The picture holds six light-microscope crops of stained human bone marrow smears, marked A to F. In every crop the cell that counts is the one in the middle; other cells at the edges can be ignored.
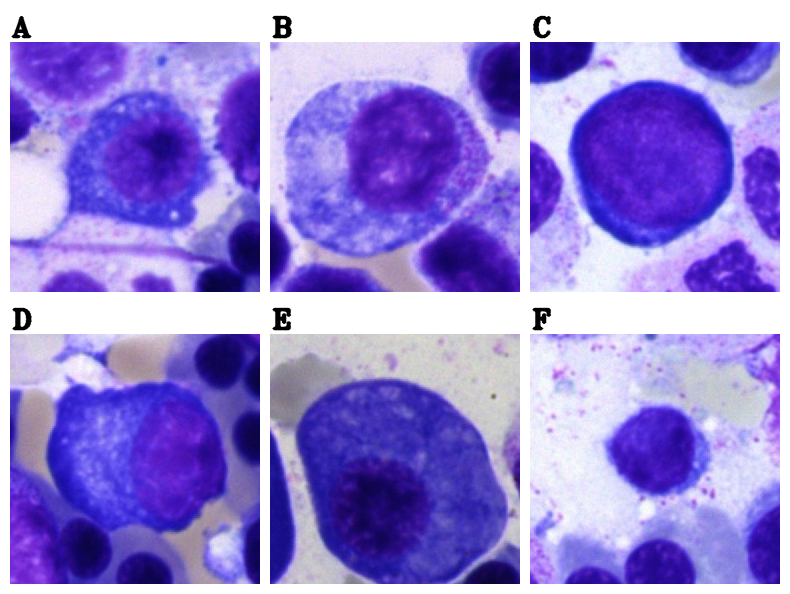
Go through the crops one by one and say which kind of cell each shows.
A: plasma cell
B: promyelocyte
C: proerythroblast
D: plasma cell
E: plasma cell
F: lymphocyte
